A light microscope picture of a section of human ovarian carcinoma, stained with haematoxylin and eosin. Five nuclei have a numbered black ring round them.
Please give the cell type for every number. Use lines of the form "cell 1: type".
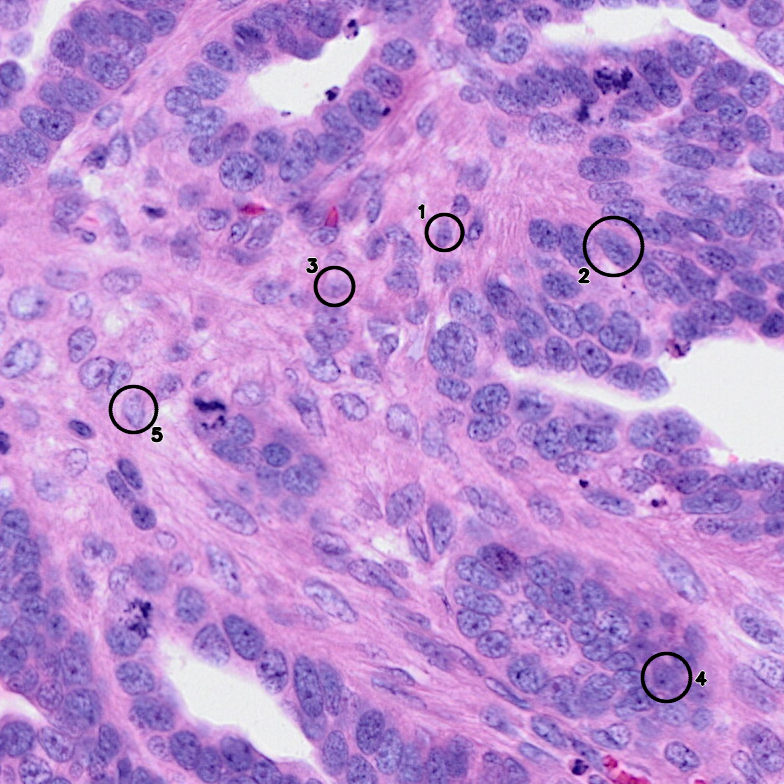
cell 1: fibroblast
cell 2: carcinoma cell
cell 3: fibroblast
cell 4: carcinoma cell
cell 5: fibroblast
